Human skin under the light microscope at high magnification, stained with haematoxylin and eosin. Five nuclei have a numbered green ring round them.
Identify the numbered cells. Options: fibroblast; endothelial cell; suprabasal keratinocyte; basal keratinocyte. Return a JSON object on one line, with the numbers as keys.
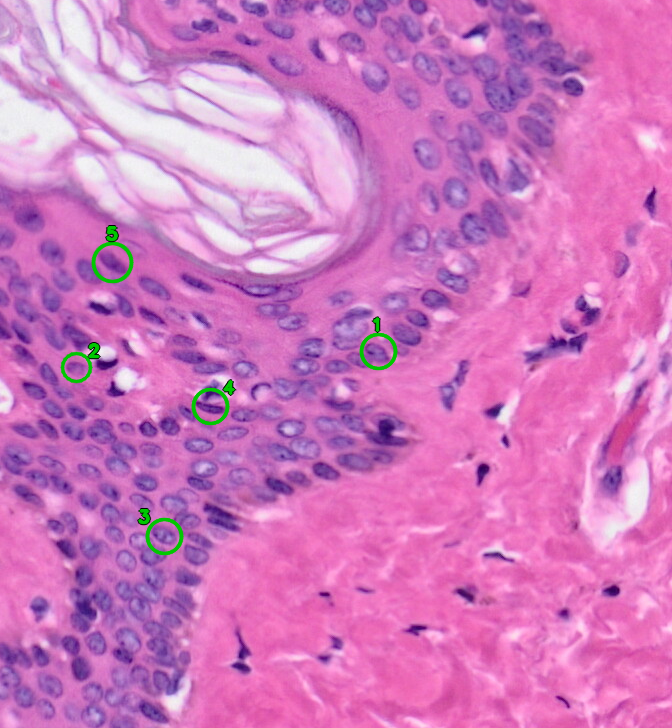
{"1": "basal keratinocyte", "2": "basal keratinocyte", "3": "suprabasal keratinocyte", "4": "basal keratinocyte", "5": "suprabasal keratinocyte"}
